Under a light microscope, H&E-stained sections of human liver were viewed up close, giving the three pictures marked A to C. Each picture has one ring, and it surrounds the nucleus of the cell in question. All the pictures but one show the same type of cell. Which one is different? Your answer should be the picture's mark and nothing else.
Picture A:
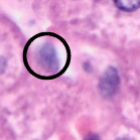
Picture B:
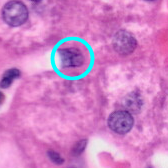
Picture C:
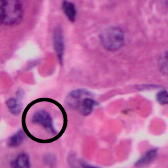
C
